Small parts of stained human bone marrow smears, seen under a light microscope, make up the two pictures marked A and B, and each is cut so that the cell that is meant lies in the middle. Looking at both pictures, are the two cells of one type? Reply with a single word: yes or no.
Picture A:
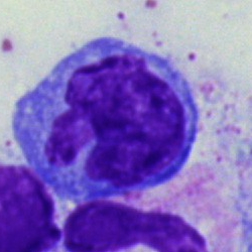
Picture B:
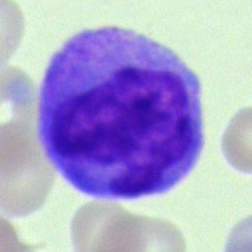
yes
